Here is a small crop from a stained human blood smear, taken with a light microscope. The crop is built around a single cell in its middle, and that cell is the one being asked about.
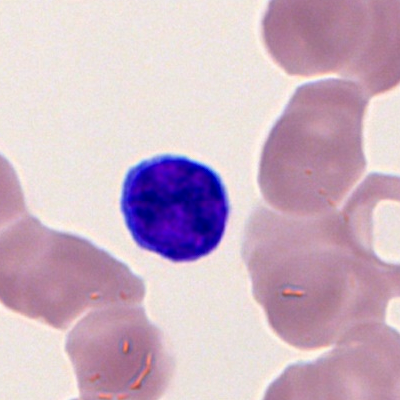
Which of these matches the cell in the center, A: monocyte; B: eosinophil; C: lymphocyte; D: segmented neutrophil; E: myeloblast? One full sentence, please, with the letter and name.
Option C is correct here, and the cell in the middle is a lymphocyte.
